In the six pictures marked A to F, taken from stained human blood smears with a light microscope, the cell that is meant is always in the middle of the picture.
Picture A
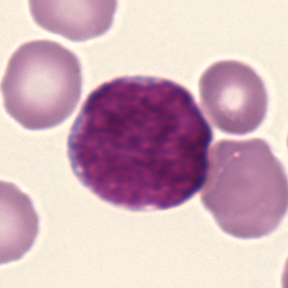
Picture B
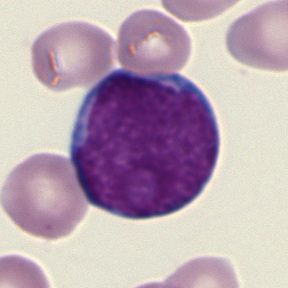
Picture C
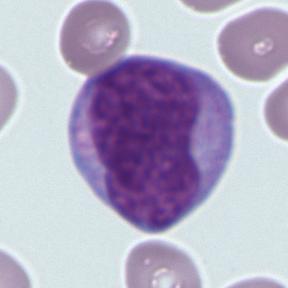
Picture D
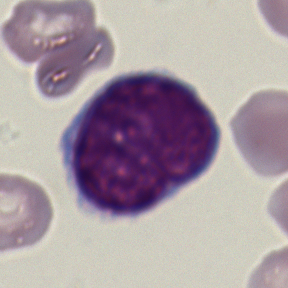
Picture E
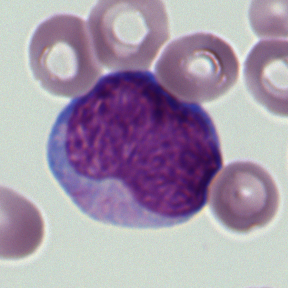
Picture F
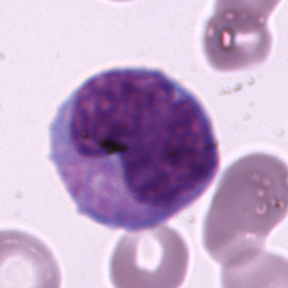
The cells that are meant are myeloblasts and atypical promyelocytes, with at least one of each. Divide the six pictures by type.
A: myeloblast
B: myeloblast
C: atypical promyelocyte
D: myeloblast
E: atypical promyelocyte
F: atypical promyelocyte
